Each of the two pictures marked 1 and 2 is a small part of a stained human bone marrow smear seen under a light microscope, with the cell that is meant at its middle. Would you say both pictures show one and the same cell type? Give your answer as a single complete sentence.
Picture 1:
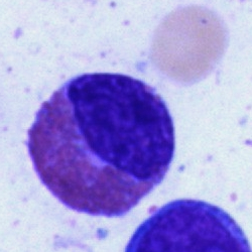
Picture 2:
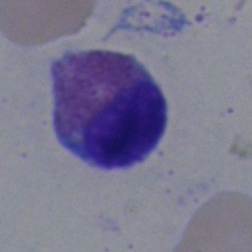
Yes, both are eosinophils.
